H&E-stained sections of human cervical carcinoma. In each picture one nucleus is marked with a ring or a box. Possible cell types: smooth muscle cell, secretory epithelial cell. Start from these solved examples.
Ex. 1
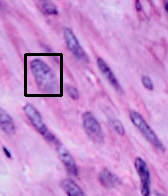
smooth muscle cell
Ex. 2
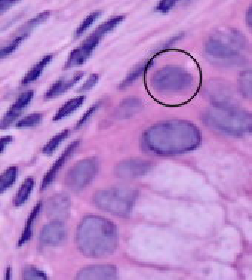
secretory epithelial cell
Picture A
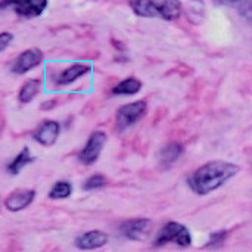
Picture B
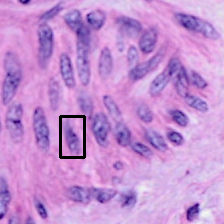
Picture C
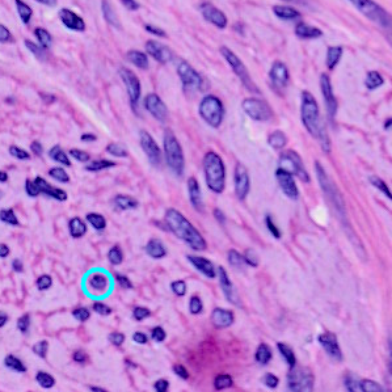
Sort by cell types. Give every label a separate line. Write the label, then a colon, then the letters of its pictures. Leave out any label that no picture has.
smooth muscle cell: A, B, C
